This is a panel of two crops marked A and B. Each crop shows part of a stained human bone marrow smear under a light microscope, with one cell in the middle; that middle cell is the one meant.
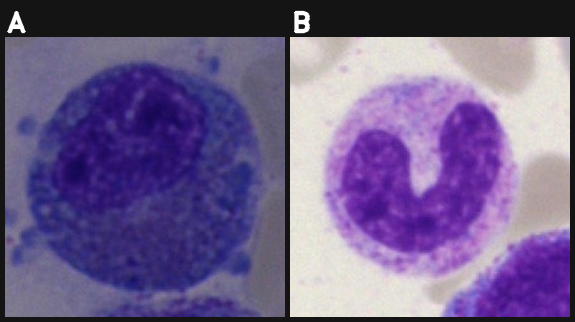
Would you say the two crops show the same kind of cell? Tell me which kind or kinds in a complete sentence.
No, within crop A lies an eosinophil, and within crop B lies a band neutrophil.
